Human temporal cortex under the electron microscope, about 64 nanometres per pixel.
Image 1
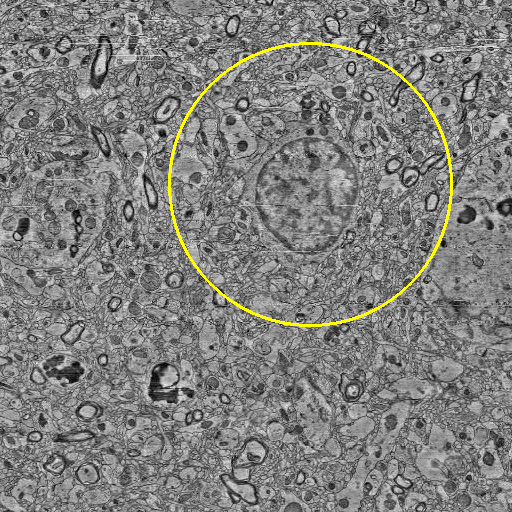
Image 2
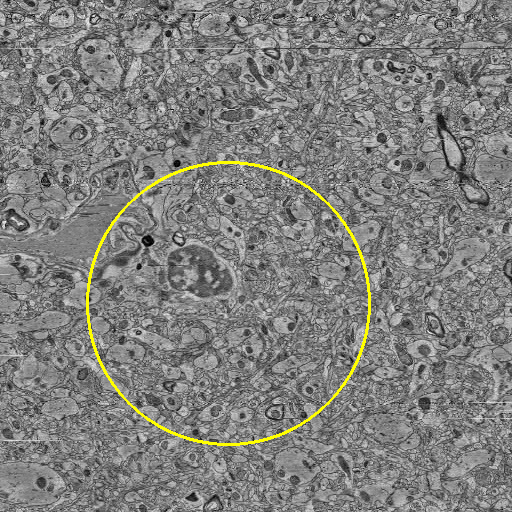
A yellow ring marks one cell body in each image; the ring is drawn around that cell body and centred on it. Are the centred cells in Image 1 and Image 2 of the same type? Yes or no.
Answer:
no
